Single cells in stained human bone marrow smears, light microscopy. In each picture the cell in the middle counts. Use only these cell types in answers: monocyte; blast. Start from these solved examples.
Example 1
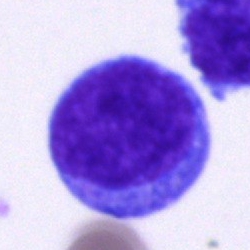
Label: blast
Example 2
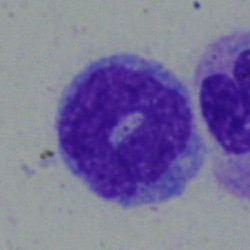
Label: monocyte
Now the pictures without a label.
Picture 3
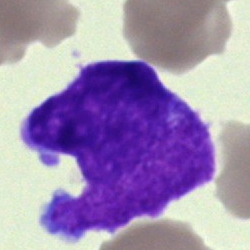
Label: blast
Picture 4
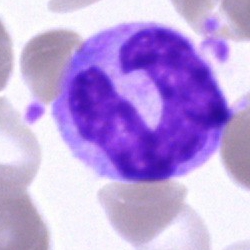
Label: monocyte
